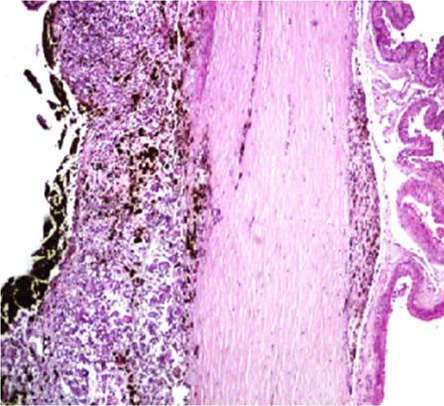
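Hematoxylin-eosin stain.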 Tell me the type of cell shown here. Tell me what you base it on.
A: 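A dense cellular layer on the left holds abundant dark brown pigment. Pigmented cells also lie along the edges of the pale pink fibrous band.
Conclusion: Pigmented cells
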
